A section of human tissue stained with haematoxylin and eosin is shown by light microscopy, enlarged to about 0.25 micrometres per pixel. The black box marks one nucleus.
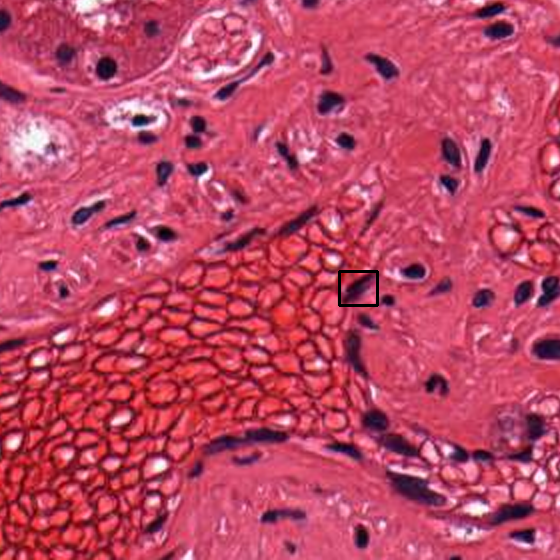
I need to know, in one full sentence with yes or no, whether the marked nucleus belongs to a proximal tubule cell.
No, a proximal tubule cell does not own the marked nucleus, which belongs to a supporting cell.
